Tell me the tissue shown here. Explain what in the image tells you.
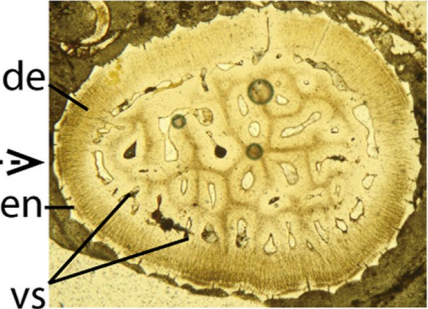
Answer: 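Tooth. A broad pale band with fine radial striations running from the centre outward. A central region crossed by a network of irregular cavities.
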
